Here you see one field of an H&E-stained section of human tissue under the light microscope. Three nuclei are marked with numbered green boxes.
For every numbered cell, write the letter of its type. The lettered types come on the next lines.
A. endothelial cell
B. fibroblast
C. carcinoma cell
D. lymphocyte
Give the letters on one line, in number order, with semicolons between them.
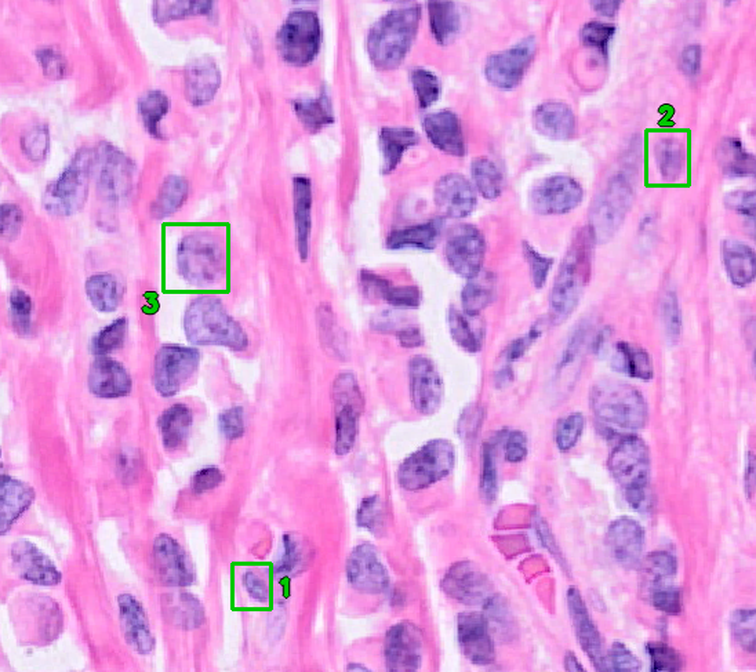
A; A; C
